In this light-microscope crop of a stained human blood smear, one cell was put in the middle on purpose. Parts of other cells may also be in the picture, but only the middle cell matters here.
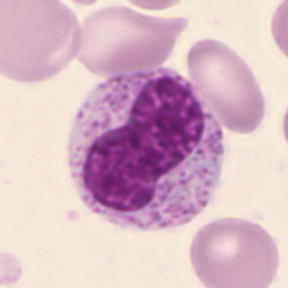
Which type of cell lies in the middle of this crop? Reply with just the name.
band neutrophil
